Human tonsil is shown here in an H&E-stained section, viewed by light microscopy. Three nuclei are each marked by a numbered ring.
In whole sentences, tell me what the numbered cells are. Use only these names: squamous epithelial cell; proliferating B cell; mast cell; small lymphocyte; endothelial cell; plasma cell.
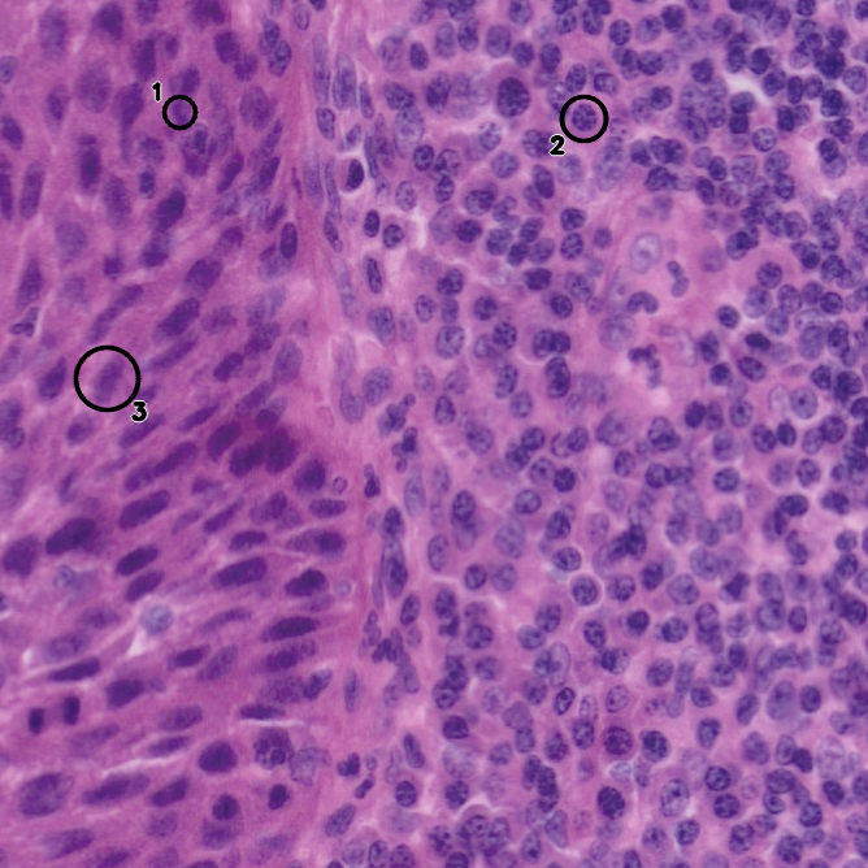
Cell 1 is a squamous epithelial cell, cell 2 is a plasma cell and cell 3 is a squamous epithelial cell.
